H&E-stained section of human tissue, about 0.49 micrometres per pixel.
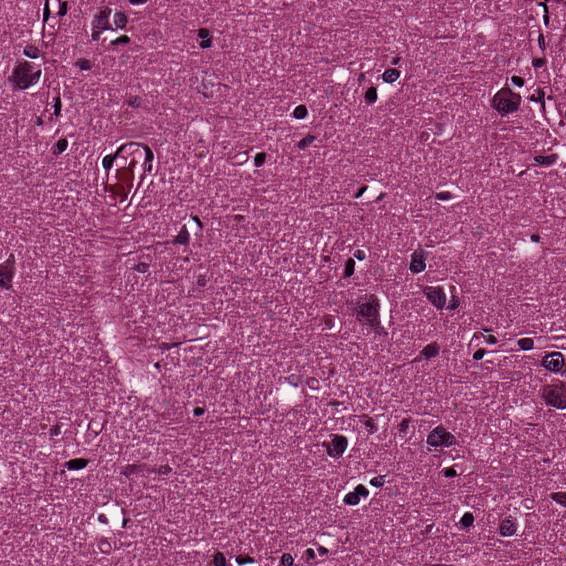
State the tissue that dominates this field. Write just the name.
cerebral cortex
